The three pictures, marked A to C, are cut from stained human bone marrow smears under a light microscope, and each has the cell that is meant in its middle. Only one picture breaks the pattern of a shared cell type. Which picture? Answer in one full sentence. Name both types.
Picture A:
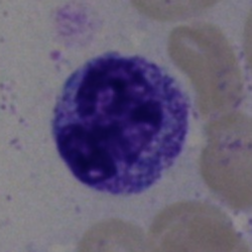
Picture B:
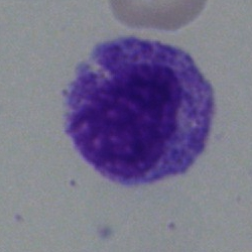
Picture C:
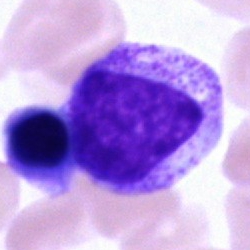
All pictures except A show myelocytes; picture A shows a metamyelocyte.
